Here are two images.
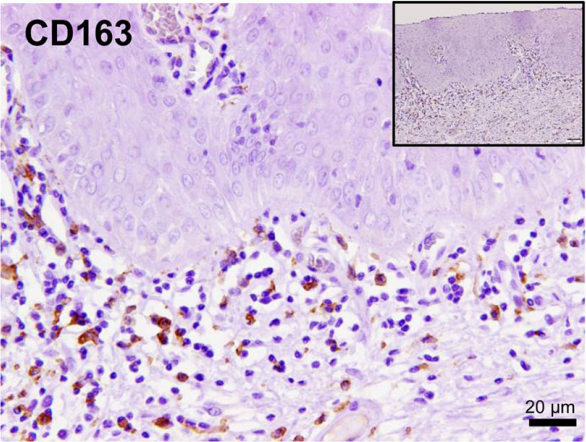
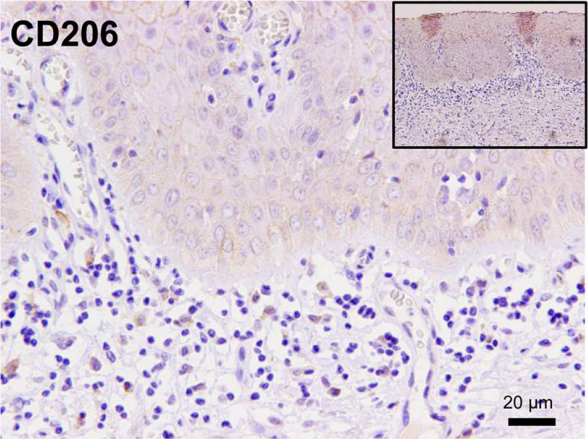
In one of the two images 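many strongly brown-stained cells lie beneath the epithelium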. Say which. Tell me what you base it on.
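Second image: only a few faintly brown cells lie in the connective tissue. First image: many dark brown cells are scattered below the epithelium. The answer: the first image.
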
